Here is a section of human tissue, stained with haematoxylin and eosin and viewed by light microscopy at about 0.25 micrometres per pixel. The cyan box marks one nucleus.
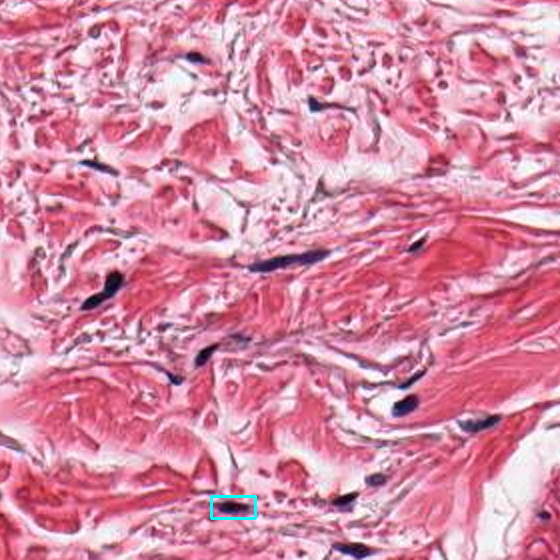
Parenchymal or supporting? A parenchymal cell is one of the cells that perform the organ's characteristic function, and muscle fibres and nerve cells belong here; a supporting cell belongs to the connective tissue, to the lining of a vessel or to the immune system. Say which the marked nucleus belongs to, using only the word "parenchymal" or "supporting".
supporting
